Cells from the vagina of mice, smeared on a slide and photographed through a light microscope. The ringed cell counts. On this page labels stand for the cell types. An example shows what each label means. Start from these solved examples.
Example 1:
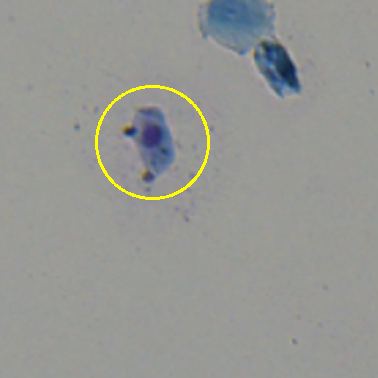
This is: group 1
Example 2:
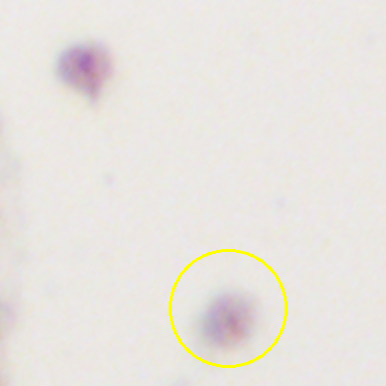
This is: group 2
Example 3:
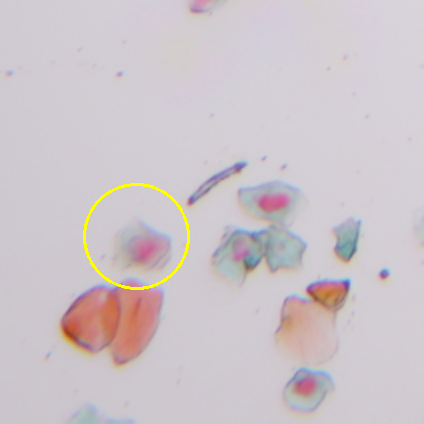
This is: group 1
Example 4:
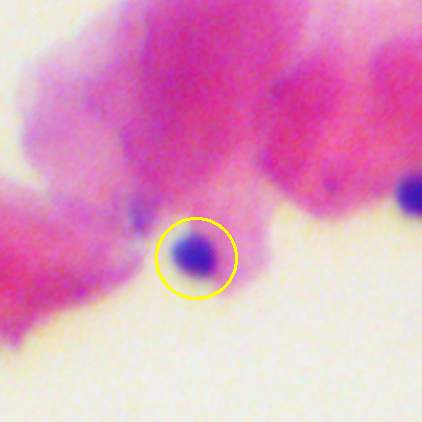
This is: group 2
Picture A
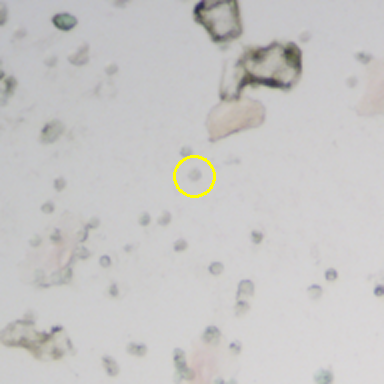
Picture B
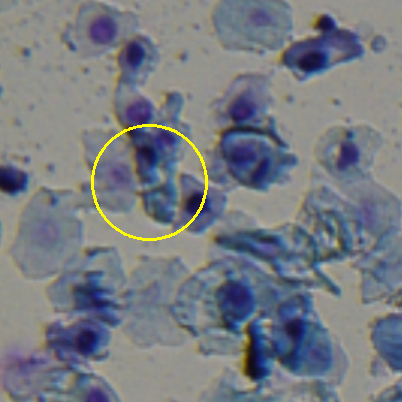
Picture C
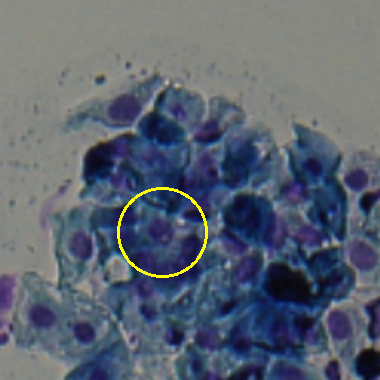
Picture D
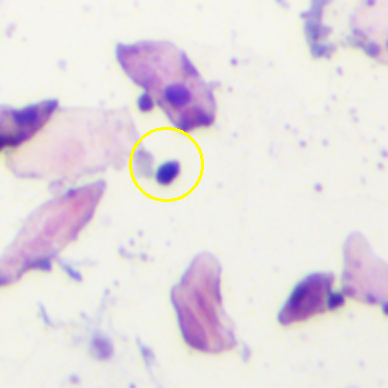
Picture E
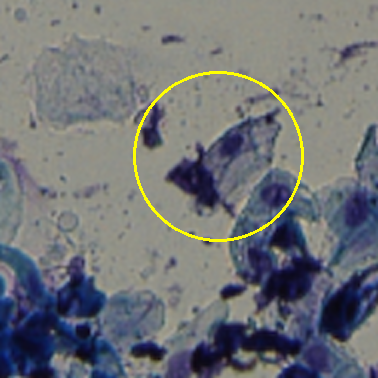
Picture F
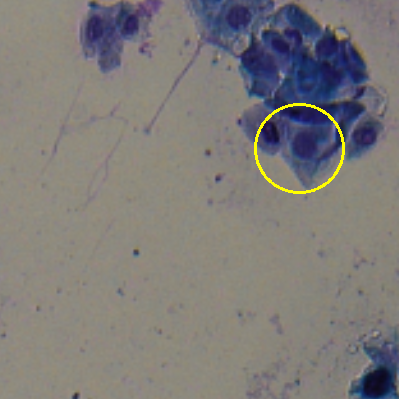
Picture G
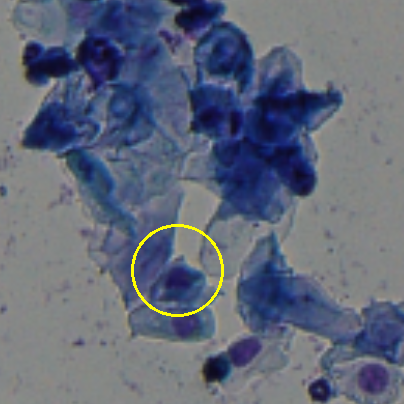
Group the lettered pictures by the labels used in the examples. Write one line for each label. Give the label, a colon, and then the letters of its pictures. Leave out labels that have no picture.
group 1: B, C, E, F, G
group 2: A, D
